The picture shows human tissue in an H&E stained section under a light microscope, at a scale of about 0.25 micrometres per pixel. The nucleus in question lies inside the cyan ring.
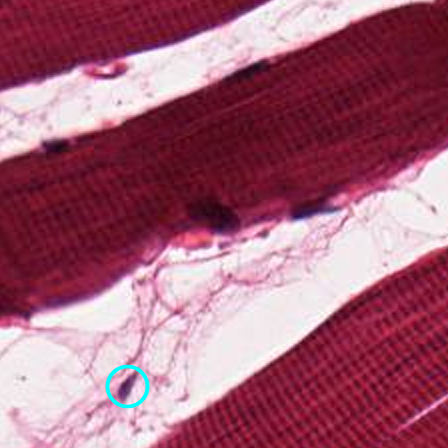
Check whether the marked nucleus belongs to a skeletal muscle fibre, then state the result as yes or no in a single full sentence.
No, not to a skeletal muscle fibre does the marked nucleus belong, but to a supporting cell.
